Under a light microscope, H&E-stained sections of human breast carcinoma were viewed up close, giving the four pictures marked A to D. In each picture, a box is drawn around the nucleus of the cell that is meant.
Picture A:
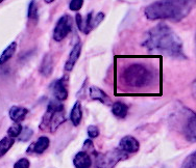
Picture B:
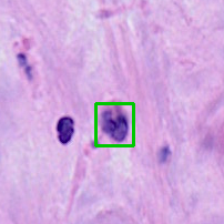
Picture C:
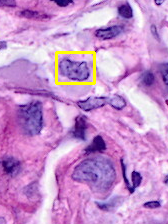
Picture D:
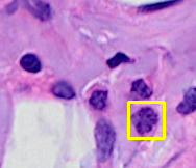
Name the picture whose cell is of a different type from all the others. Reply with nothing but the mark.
A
